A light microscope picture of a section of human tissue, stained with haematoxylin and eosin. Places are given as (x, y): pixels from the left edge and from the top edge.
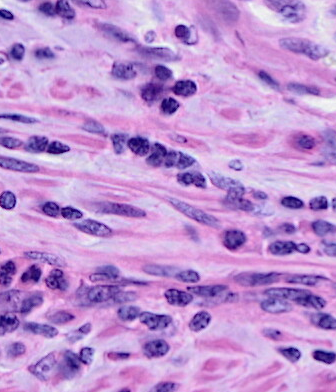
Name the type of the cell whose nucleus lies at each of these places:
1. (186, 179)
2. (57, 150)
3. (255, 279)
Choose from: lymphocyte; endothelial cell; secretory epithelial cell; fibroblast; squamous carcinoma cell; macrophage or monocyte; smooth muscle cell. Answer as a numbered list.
1. lymphocyte
2. lymphocyte
3. endothelial cell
